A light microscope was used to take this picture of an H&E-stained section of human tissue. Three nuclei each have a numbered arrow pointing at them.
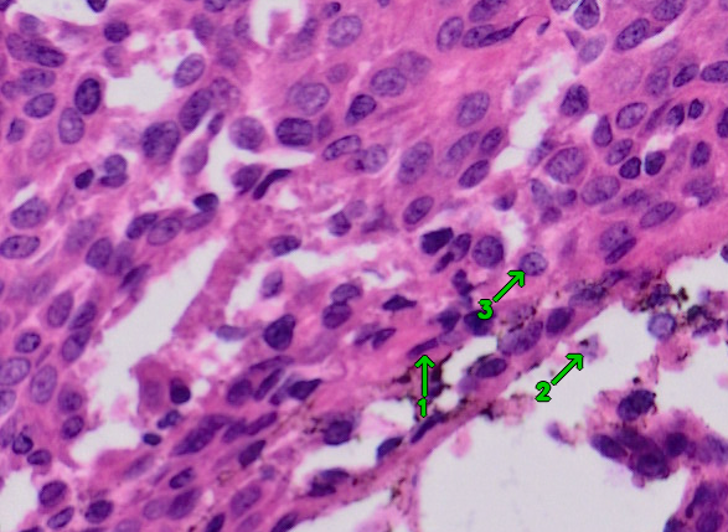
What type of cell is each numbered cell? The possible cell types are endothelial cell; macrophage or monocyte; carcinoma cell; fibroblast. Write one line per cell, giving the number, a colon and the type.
1: endothelial cell
2: macrophage or monocyte
3: macrophage or monocyte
